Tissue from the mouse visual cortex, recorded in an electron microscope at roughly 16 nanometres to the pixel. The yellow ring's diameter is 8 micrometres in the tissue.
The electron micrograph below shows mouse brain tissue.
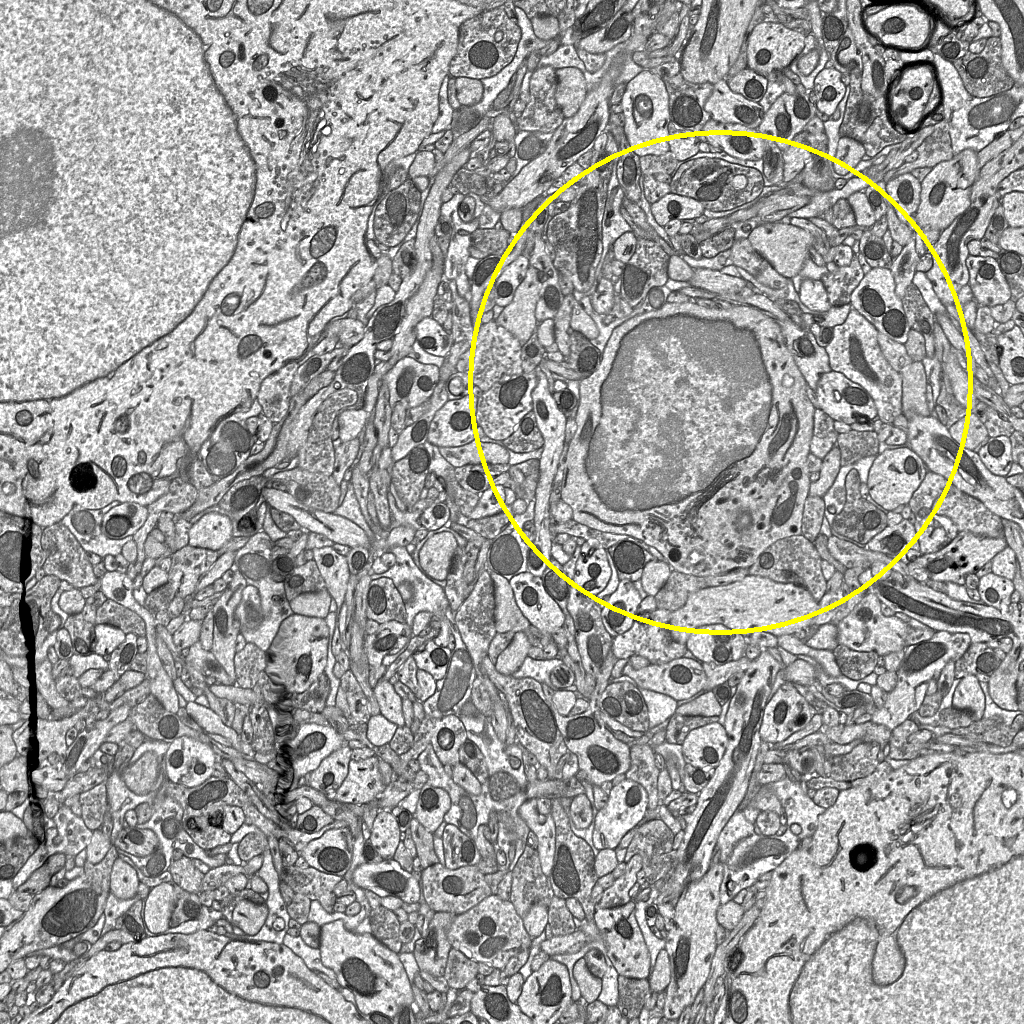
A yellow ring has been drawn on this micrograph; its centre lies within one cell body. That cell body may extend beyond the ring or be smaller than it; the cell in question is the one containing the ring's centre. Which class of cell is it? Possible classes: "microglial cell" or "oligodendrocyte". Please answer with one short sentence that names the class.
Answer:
In the centre of the ring sits a microglial cell.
